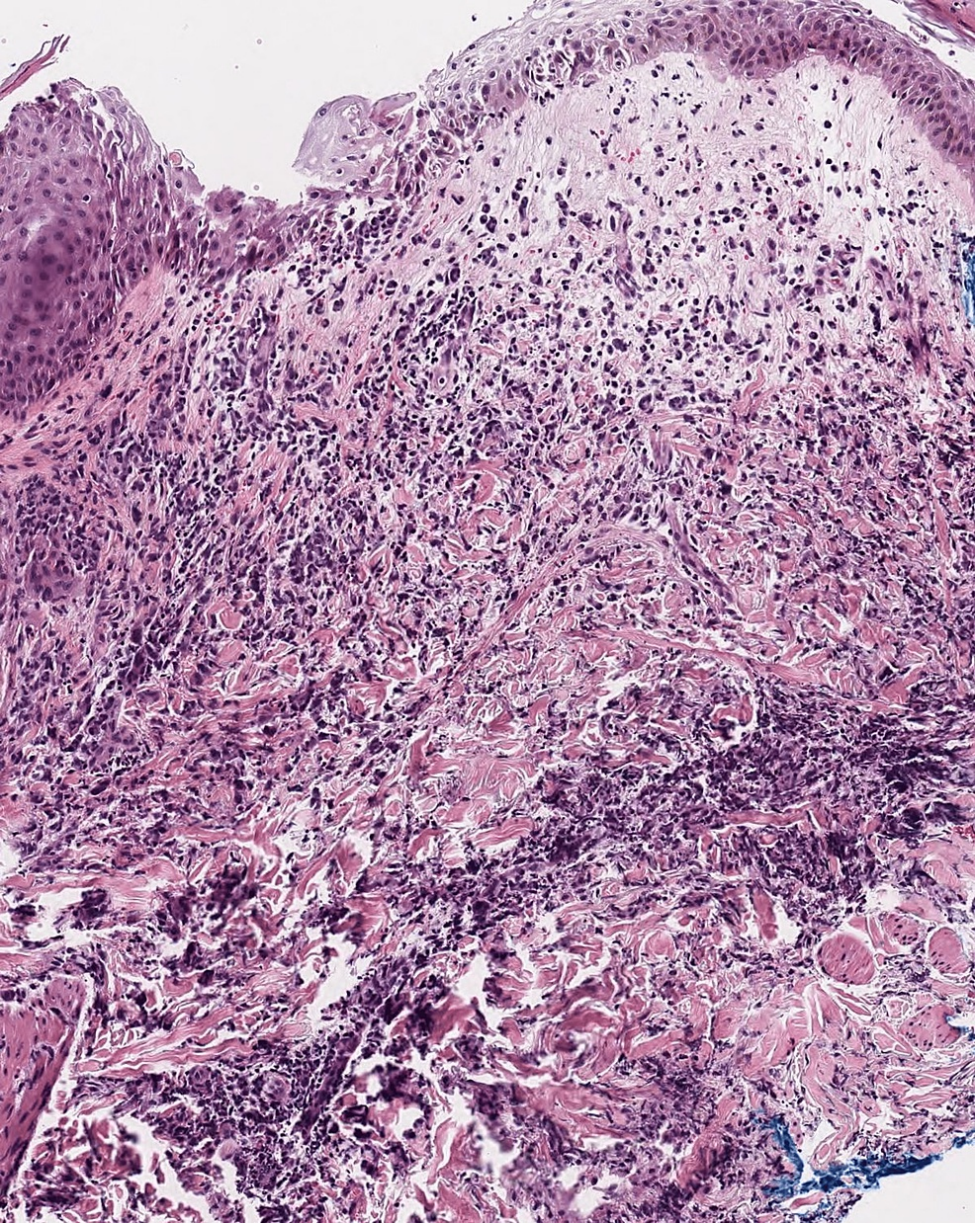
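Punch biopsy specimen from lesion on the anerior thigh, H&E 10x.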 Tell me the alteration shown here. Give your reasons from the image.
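Just beneath the epidermis at the top right, a broad band of dermis is very pale and loose. Cells in this pale band lie widely scattered, with clear space between them.
Hence: papillary dermal edema.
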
